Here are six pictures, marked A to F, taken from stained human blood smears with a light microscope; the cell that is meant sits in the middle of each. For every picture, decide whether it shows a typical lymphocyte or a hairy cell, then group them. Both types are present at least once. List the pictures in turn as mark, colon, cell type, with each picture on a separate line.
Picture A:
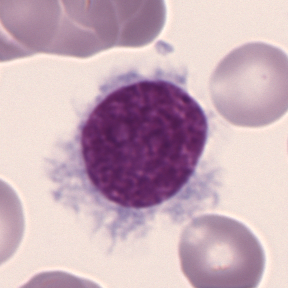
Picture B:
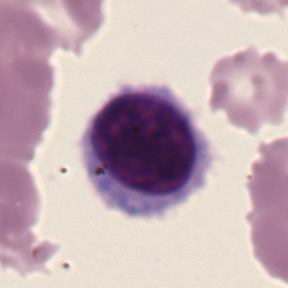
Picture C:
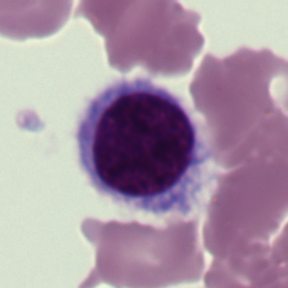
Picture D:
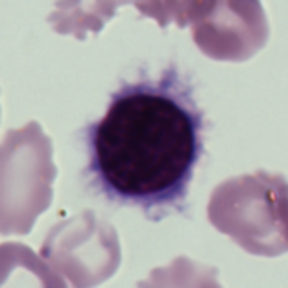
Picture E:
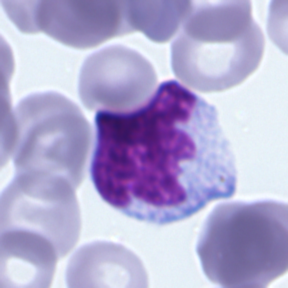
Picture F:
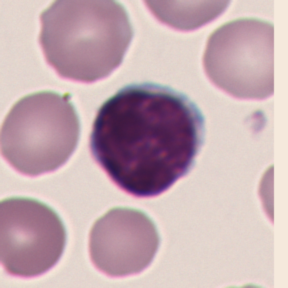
A: hairy cell
B: hairy cell
C: hairy cell
D: hairy cell
E: typical lymphocyte
F: typical lymphocyte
